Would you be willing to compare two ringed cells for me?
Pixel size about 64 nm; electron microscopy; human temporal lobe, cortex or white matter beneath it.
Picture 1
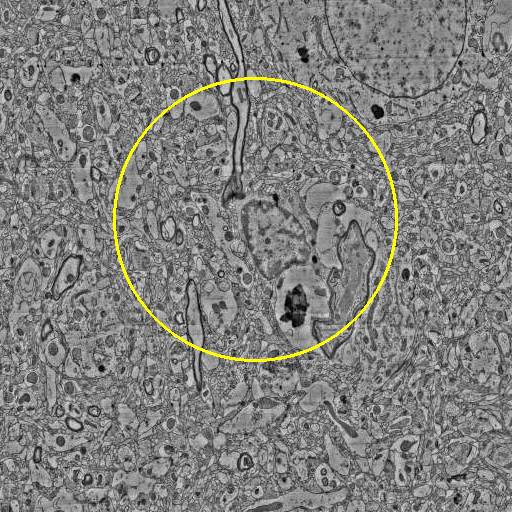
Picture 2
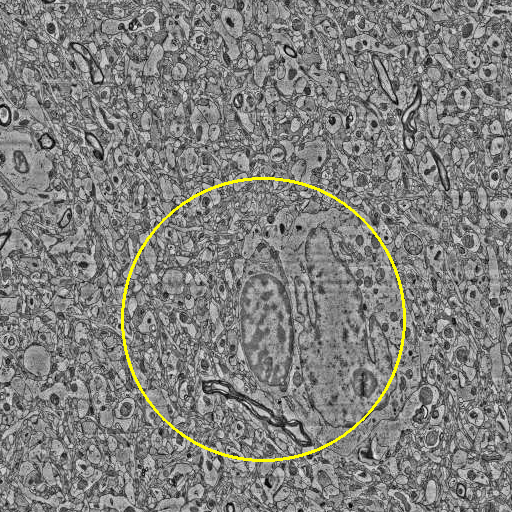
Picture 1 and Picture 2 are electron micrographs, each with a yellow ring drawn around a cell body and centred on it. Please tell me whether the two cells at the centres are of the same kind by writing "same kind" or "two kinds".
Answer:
same kind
